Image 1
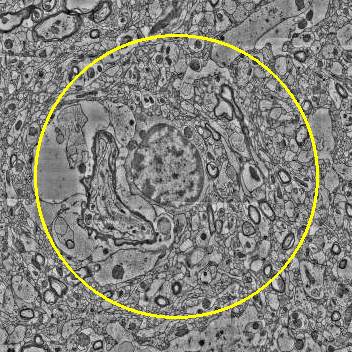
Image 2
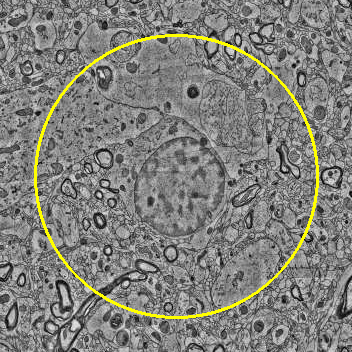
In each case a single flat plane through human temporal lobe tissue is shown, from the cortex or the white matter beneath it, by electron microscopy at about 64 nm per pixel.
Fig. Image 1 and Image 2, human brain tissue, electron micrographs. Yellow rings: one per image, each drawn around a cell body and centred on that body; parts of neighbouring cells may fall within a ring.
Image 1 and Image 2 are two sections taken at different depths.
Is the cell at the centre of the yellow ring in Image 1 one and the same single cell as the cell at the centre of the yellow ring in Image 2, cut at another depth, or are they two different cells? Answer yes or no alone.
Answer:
no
